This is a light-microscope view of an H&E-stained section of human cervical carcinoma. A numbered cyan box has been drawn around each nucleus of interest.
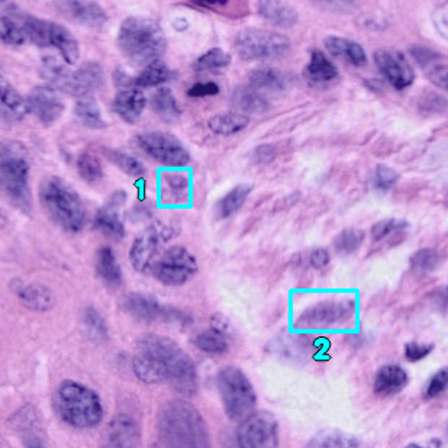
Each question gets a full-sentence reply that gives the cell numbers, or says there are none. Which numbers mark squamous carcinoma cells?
Cell 1 is a squamous carcinoma cell, while all remaining marked cells are of other types.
